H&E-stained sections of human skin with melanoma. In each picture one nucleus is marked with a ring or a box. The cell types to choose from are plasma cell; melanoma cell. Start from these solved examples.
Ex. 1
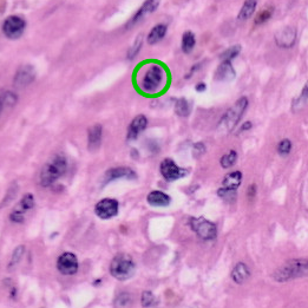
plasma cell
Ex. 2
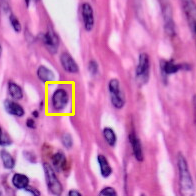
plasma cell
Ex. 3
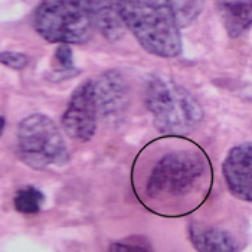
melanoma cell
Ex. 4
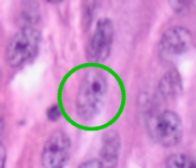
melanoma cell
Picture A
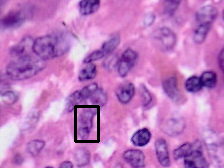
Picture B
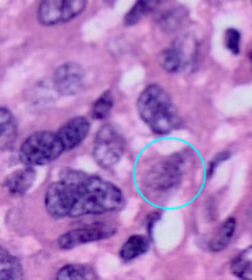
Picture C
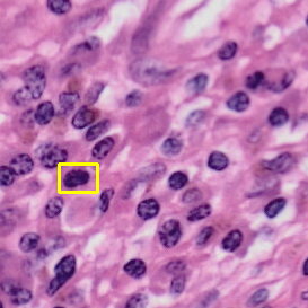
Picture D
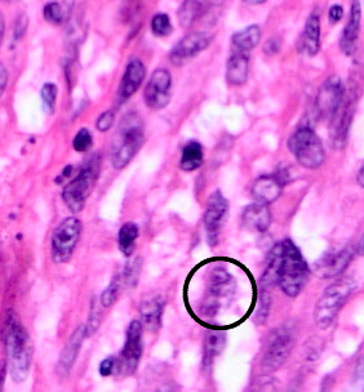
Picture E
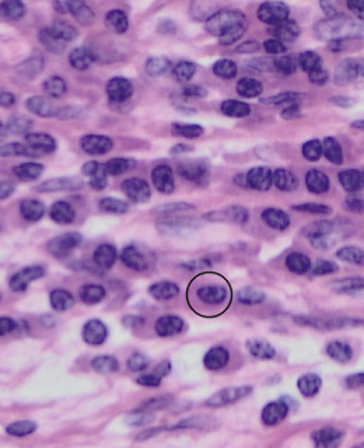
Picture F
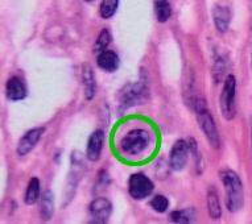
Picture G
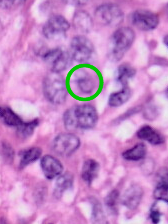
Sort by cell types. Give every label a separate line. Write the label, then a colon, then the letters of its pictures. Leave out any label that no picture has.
plasma cell: C, E, F
melanoma cell: A, B, D, G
